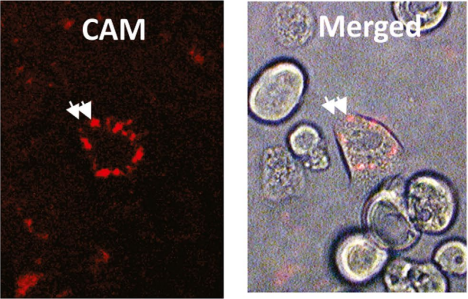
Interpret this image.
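On the dark fluorescent view a single cell is outlined by a ring of bright red dots, marked by the double arrowheads. In the merged view this same cell is a flattened, angular cell with the red dots lying over it, while the cells around it are rounded, refractile cells with bright halos and no red. The red thus picks out one cell among its rounded neighbours.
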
